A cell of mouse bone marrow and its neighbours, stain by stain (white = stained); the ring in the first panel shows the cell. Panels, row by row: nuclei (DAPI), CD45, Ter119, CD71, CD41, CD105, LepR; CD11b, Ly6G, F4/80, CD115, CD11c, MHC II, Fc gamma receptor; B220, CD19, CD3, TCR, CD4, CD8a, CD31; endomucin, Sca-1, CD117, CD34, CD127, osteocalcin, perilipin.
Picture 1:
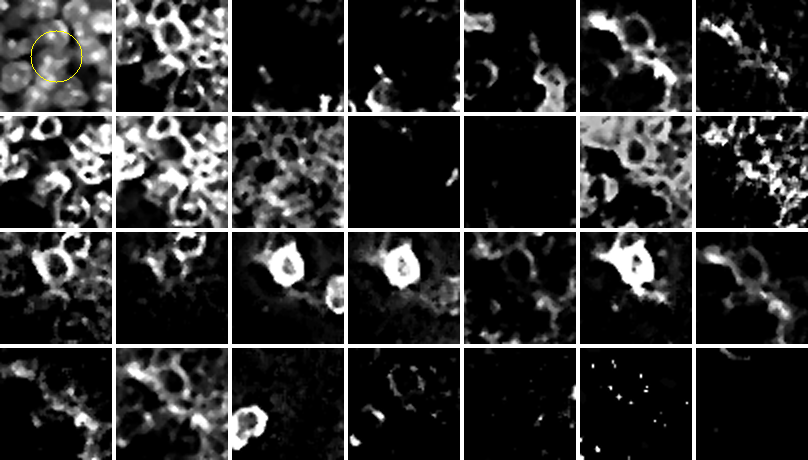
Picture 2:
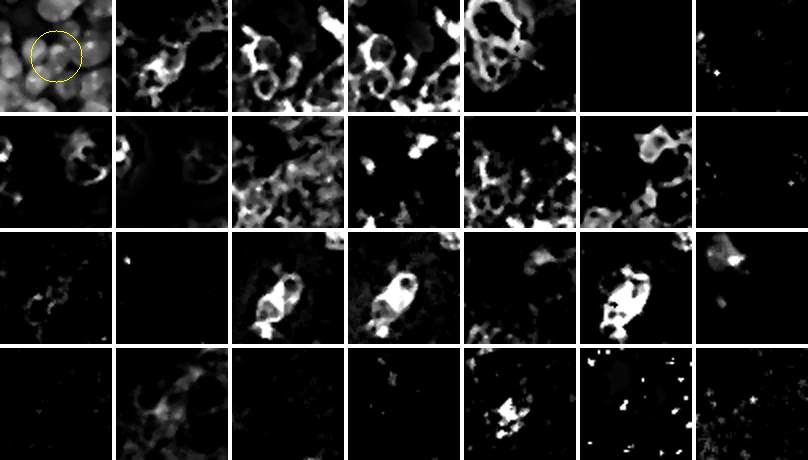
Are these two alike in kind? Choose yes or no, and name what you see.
Yes. CD8 T cells.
